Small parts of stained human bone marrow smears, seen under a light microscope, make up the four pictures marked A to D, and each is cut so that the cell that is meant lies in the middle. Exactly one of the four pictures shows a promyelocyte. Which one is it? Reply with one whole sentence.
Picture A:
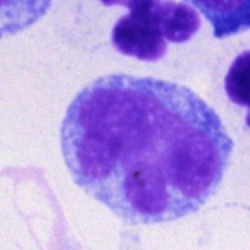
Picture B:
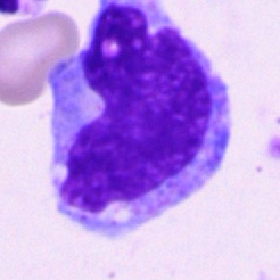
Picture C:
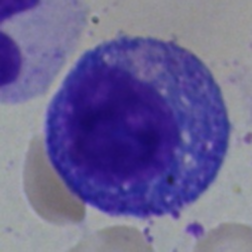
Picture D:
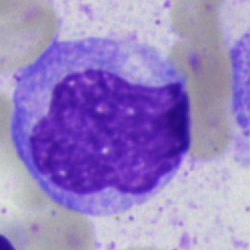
The promyelocyte is the one in picture C.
